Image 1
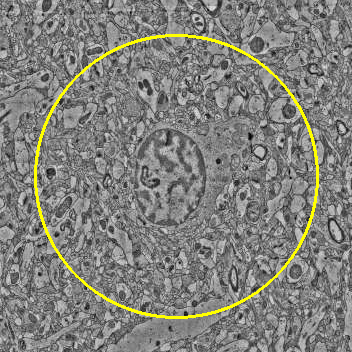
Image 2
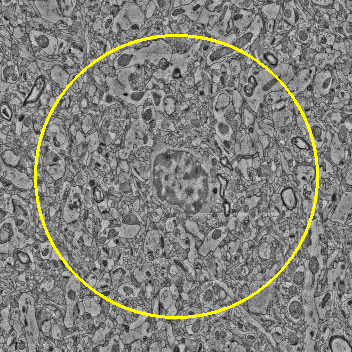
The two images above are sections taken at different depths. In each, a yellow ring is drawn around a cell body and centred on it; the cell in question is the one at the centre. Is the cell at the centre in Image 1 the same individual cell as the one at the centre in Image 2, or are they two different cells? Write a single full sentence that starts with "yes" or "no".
Yes, each ring singles out the same cell.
